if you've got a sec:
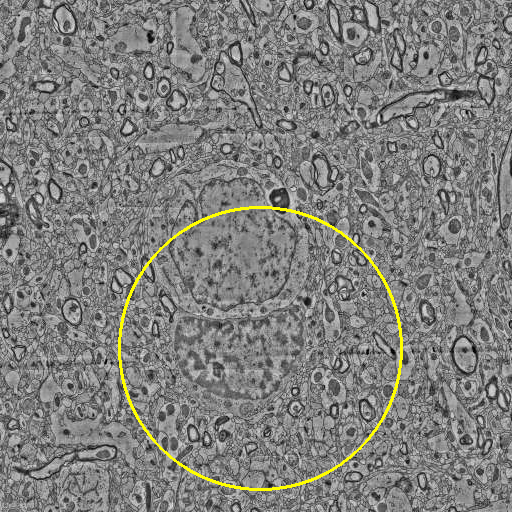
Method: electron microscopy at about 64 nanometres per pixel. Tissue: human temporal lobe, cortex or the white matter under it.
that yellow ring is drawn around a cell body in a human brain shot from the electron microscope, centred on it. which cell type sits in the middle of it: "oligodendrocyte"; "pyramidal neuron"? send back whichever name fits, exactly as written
oligodendrocyte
